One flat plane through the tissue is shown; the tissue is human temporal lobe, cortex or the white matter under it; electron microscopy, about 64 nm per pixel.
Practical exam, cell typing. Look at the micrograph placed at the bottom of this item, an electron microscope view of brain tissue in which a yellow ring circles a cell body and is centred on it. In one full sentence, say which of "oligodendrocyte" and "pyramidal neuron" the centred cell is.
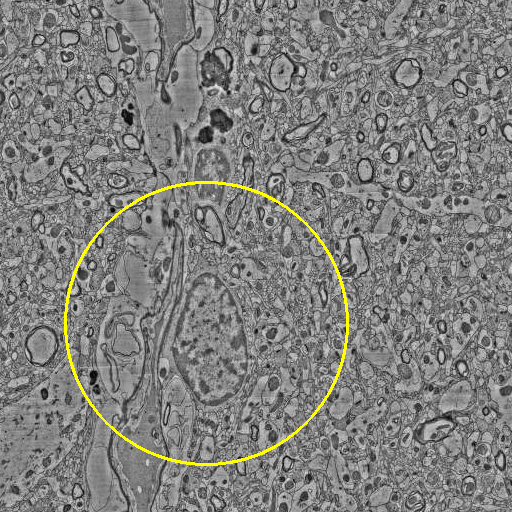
Given the options, an oligodendrocyte fits the cell whose body the yellow ring is centred on.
